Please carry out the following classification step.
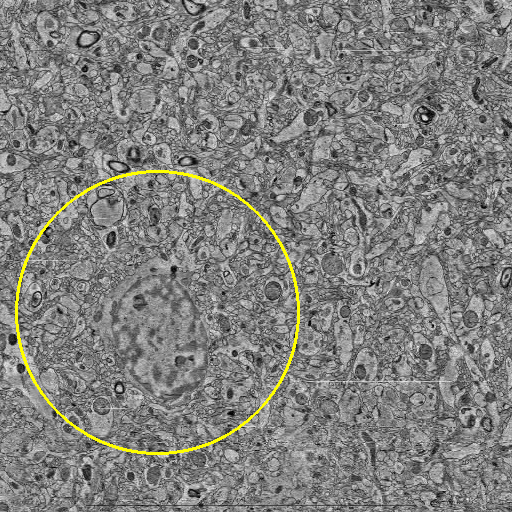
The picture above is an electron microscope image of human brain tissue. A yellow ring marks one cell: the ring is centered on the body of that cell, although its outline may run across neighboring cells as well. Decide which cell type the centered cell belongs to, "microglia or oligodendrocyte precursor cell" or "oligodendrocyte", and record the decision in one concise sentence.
The cell centered in the yellow ring is an oligodendrocyte.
